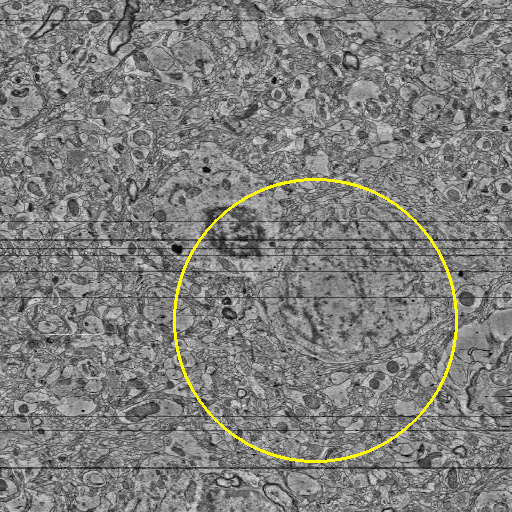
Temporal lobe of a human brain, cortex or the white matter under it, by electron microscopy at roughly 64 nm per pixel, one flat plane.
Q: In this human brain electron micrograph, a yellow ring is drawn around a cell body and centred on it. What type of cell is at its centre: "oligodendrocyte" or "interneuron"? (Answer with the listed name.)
interneuron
